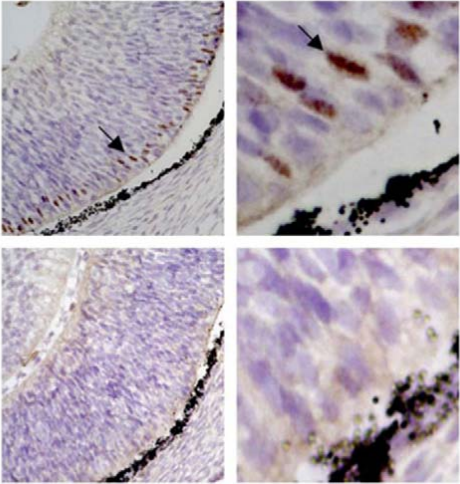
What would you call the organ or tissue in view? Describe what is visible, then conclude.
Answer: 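Developing retina. A thick layer of tightly packed, elongated nuclei counterstained blue.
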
